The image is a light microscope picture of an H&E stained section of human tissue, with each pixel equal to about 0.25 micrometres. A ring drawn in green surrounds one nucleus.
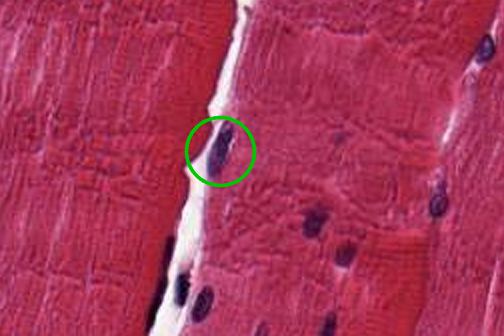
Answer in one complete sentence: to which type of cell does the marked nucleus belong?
The cell whose nucleus is marked is a skeletal muscle fibre.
